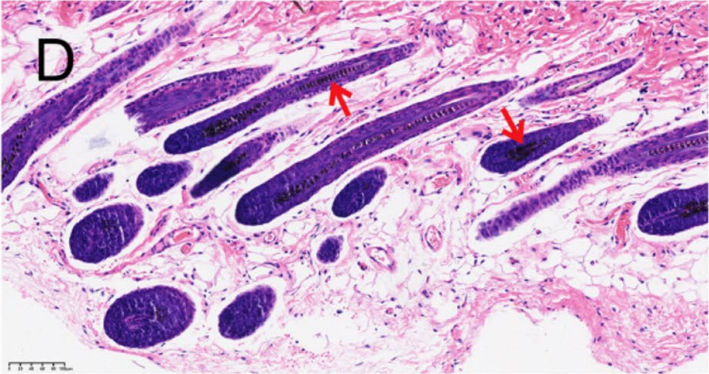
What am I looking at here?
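Skin dermis containing hair follicles cut lengthwise and across, set in loose pale pink connective tissue with scattered nuclei and clear spaces. The follicles are elongated, densely purple epithelial structures with tightly packed nuclei, and several round purple profiles show them in cross section. Along the centre of the lengthwise follicles runs a line of dark brown-black granules, forming a banded, ladder-like row within the hair shafts; clumps of the same dark granules also sit in cross-sectioned follicles. These pigment granules stand out sharply against the purple epithelium.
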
